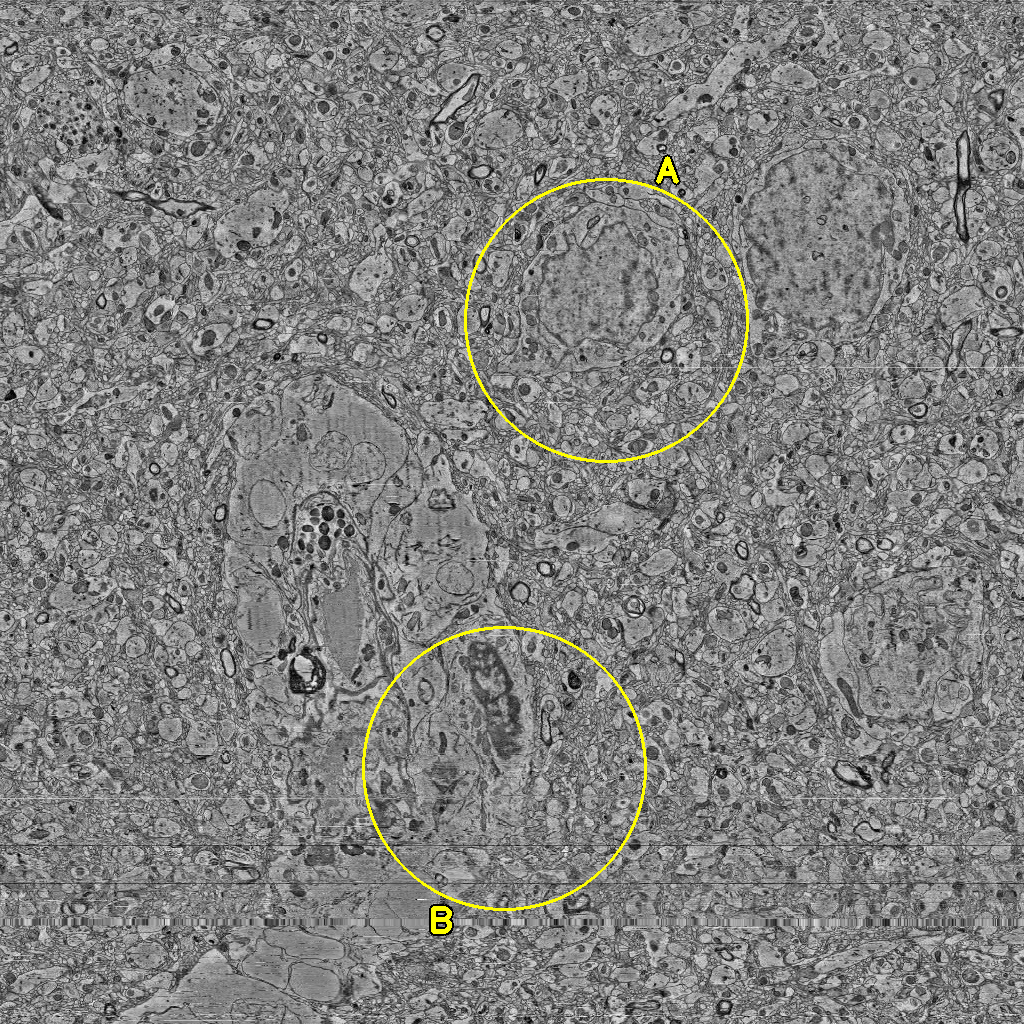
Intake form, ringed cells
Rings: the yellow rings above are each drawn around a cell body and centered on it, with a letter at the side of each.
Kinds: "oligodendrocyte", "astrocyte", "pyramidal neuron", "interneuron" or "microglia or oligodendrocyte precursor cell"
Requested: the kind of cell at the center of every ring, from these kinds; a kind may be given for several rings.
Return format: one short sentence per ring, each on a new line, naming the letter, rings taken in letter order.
In the center of ring A there is an interneuron.
In the center of ring B there is a microglial cell or oligodendrocyte precursor cell.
